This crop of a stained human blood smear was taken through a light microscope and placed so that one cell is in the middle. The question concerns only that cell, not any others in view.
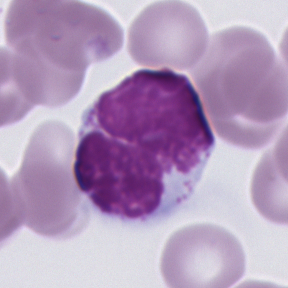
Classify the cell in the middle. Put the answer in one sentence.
The crop centres on a single cell, and that cell is a large granular lymphocyte.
